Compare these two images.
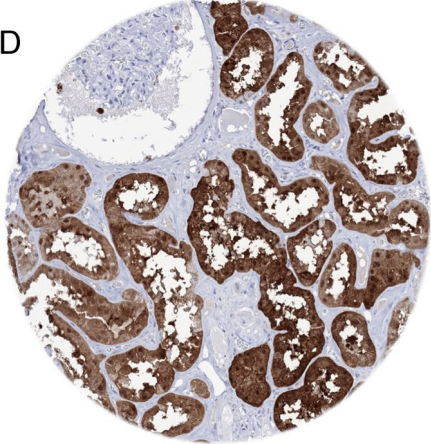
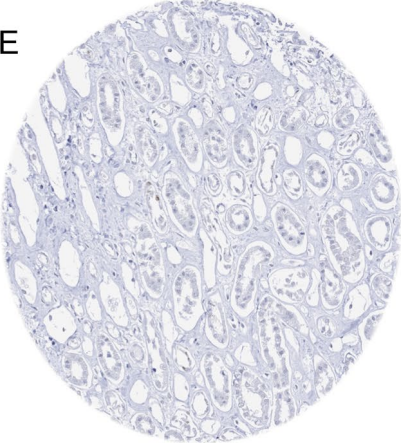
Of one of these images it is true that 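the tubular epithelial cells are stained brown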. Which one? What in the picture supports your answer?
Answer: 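Second image: tubules are lined by unstained, pale blue epithelium. First image: tubular epithelial cells show strong brown cytoplasm.
The first image.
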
